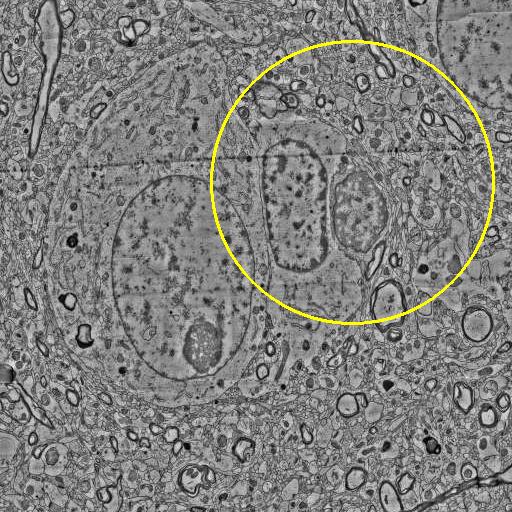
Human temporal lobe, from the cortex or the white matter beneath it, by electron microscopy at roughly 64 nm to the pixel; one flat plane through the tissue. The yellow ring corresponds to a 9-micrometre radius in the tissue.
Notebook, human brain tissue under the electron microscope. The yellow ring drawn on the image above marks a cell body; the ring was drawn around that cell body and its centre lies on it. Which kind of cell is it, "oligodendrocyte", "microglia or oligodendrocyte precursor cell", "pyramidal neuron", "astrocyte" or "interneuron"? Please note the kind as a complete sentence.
The marked cell body is that of an oligodendrocyte.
